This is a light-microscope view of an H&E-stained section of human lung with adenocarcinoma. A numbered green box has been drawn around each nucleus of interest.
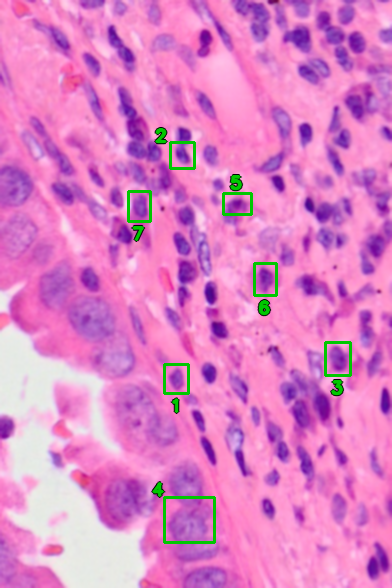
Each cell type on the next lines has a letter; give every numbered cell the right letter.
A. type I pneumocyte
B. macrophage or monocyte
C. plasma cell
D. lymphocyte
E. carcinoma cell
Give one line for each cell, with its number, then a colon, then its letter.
1: D
2: D
3: C
4: E
5: C
6: C
7: C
